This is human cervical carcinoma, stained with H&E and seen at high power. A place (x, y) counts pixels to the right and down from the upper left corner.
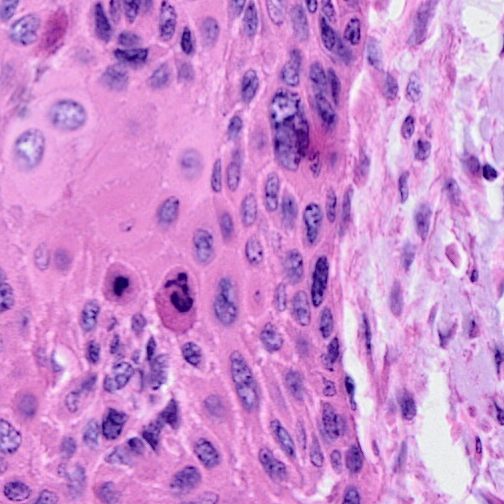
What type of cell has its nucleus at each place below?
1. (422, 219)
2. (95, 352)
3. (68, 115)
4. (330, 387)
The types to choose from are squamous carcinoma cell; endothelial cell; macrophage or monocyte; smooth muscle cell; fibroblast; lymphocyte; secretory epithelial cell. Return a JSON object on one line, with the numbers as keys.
{"1": "fibroblast", "2": "squamous carcinoma cell", "3": "squamous carcinoma cell", "4": "squamous carcinoma cell"}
